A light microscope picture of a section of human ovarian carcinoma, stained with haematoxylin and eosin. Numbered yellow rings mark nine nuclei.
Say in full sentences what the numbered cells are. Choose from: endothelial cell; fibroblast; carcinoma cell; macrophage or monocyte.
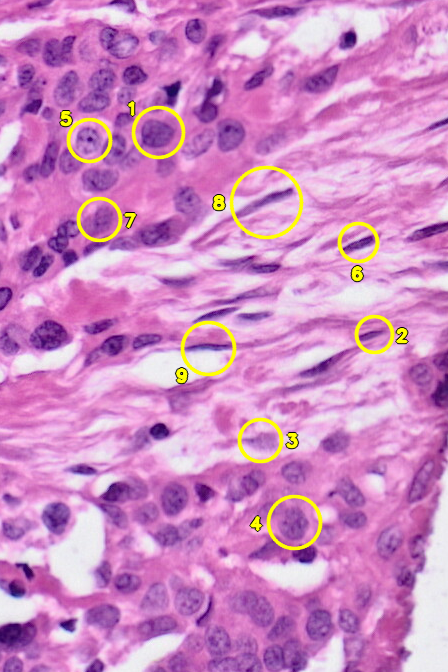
Cell 1 is a carcinoma cell, cell 2 is a fibroblast, cell 3 is a fibroblast, cell 4 is a carcinoma cell, cell 5 is a macrophage or monocyte, cell 6 is a fibroblast, cell 7 is a carcinoma cell, cell 8 is a fibroblast and cell 9 is a fibroblast.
